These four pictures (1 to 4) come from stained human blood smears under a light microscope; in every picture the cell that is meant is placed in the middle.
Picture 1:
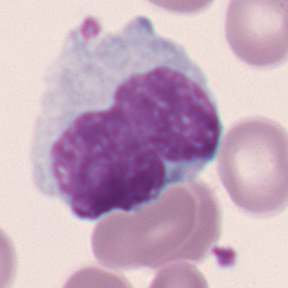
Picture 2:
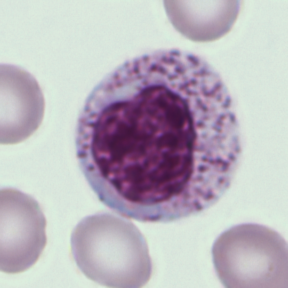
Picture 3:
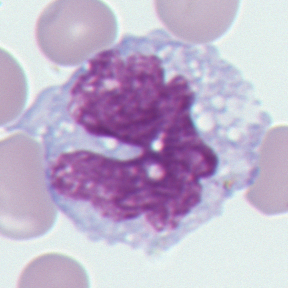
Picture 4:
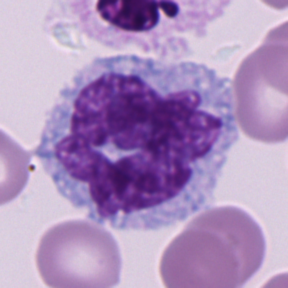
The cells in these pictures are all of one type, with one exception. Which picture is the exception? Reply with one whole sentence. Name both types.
Unlike the rest, which show monocytes, picture 2 shows a myelocyte.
